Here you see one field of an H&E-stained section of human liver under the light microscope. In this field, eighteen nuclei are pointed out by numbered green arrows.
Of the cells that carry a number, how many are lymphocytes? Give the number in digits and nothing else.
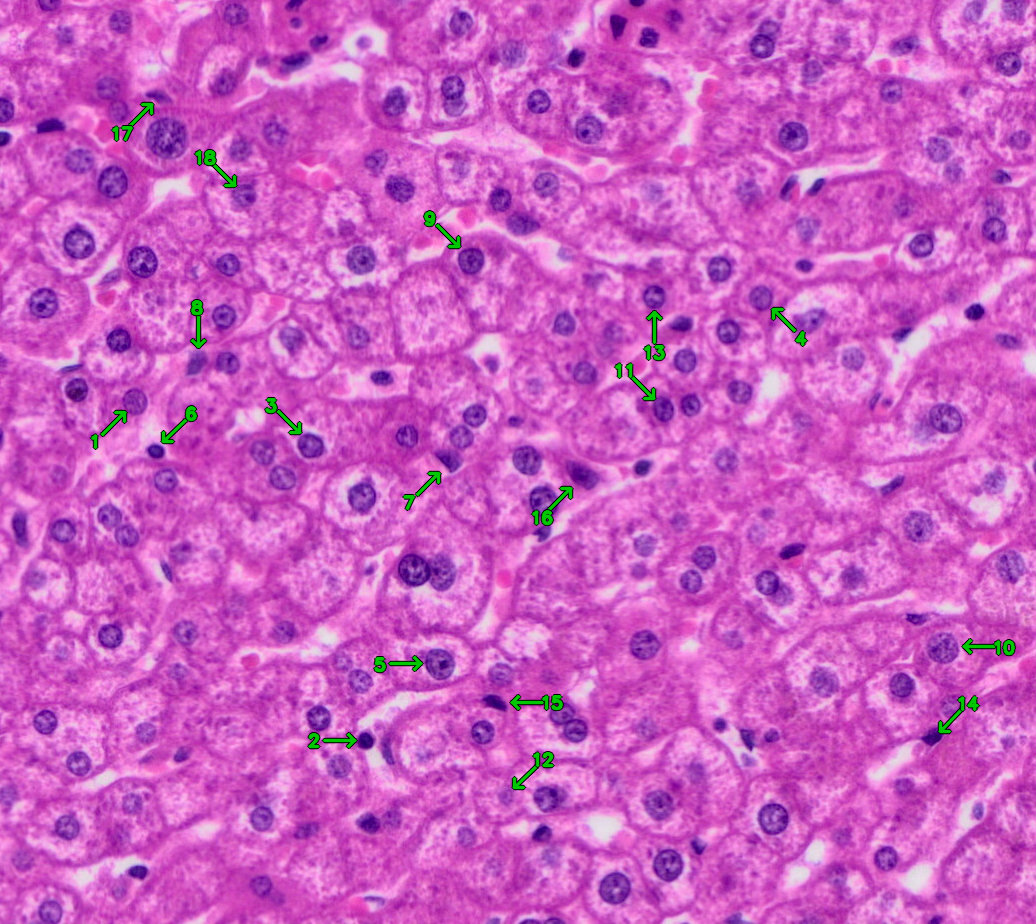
2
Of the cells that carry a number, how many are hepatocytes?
10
